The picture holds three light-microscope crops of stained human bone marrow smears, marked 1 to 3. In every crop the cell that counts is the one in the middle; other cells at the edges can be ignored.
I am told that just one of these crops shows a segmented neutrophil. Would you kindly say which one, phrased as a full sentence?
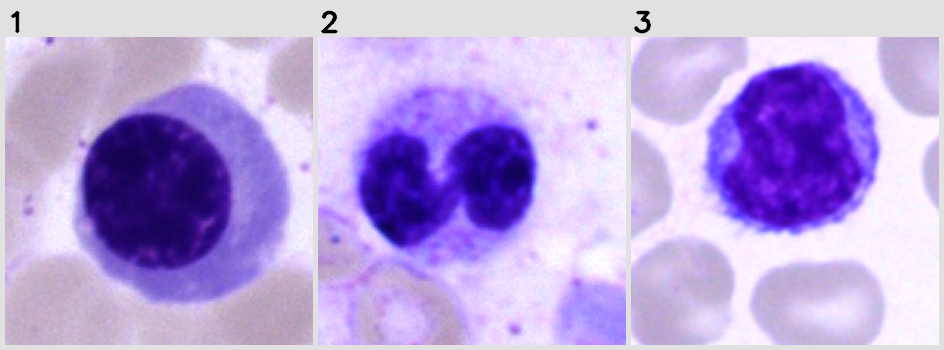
Of the labeled crops, the one with a segmented neutrophil is crop 2.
